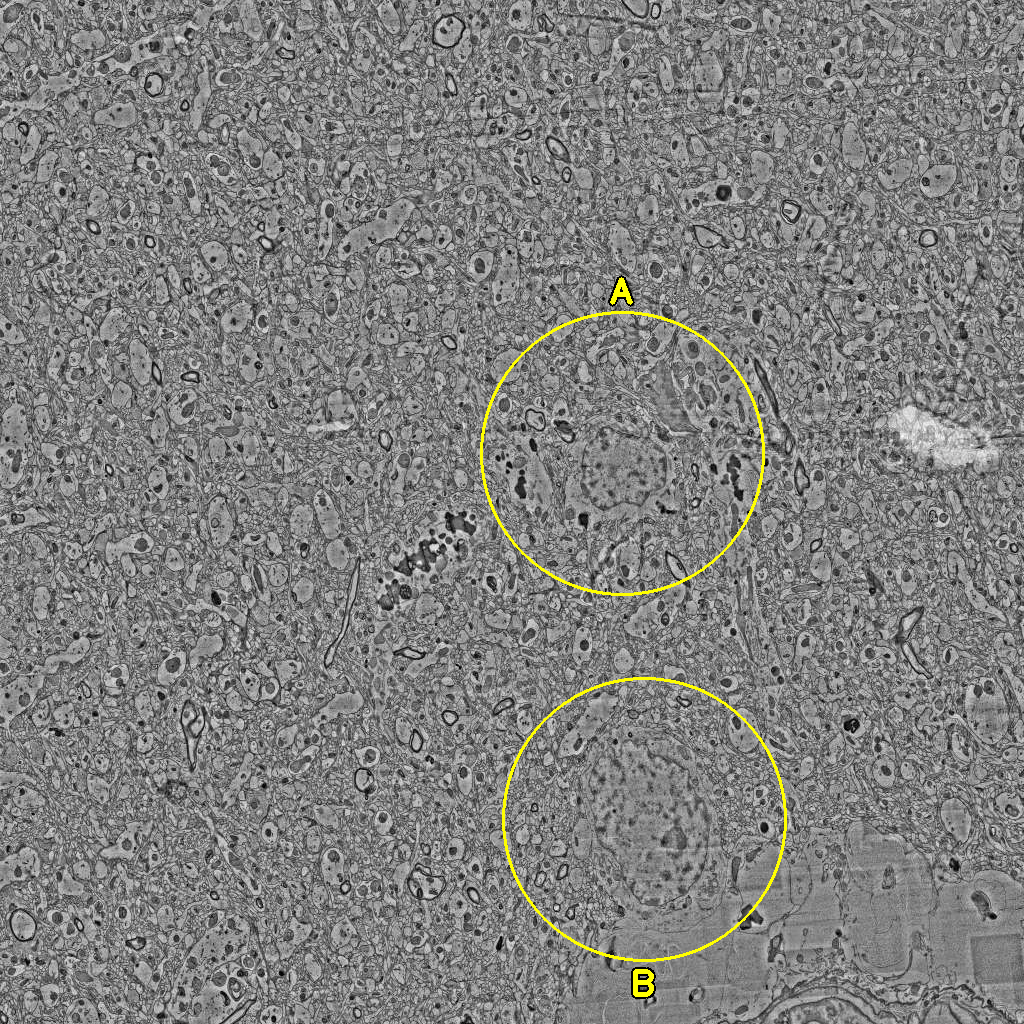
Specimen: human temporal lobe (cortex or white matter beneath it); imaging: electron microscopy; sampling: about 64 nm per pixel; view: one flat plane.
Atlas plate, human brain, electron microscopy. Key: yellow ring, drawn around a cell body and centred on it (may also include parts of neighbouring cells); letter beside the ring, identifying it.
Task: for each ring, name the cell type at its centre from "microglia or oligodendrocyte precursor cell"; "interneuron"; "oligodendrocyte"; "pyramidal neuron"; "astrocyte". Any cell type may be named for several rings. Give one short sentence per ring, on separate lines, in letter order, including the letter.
Ring A is centred over an astrocyte.
Ring B is centred over an interneuron.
